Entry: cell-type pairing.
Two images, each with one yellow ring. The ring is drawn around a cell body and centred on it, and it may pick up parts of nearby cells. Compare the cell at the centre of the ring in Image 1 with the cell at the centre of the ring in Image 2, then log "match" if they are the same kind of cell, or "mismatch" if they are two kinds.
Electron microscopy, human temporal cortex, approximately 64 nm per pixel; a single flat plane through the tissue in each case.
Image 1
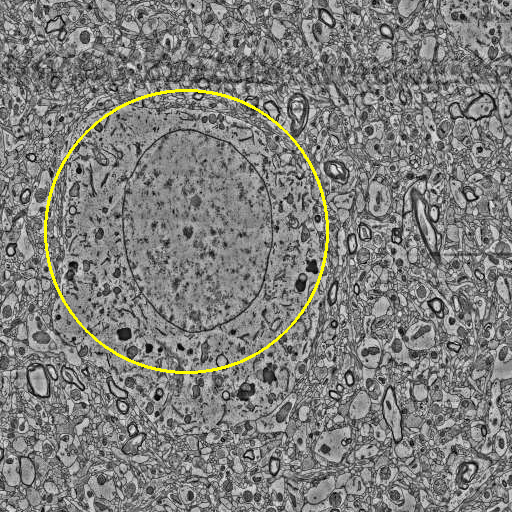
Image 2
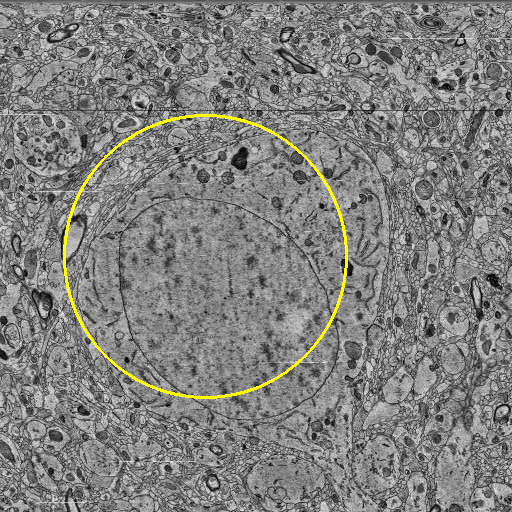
match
